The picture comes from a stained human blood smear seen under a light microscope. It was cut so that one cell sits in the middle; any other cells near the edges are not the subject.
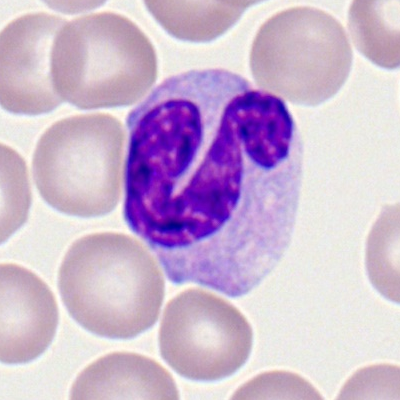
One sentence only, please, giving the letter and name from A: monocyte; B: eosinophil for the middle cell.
In this crop the central cell is a monocyte, which option A correctly states.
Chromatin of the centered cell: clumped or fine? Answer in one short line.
The chromatin in this nucleus is coarsely clumped.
